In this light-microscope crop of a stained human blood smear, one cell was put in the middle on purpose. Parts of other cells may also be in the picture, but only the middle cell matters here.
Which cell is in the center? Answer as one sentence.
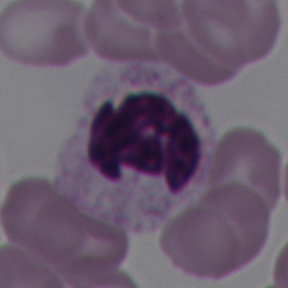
The cell at the central position in this crop is a neutrophil.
